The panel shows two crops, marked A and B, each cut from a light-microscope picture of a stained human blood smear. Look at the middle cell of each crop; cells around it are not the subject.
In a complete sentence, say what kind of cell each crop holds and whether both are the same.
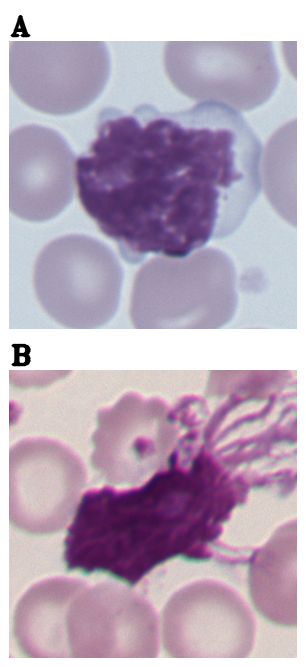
No, crop A shows a typical lymphocyte, and crop B, by contrast, shows a smudge cell.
